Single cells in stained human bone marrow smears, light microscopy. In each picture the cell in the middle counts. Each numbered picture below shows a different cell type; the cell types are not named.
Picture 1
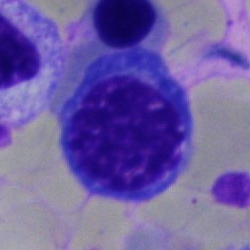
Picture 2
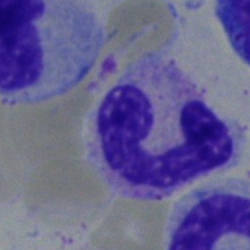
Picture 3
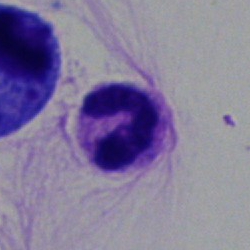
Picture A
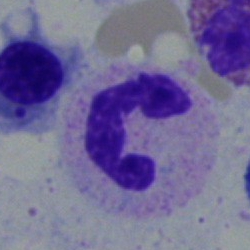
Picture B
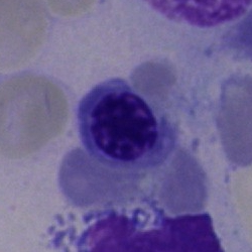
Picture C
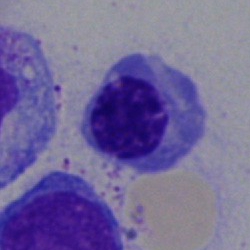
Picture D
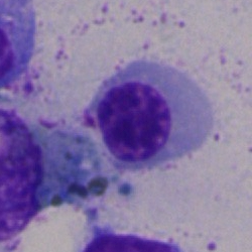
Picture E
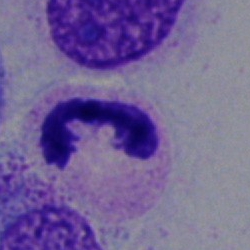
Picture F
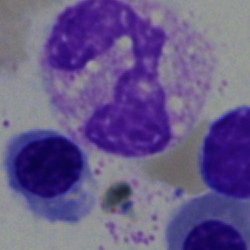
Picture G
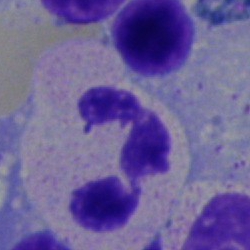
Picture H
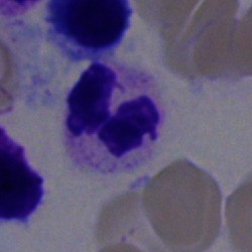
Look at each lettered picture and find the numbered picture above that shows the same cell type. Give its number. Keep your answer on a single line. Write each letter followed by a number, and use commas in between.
A 2, B 1, C 1, D 1, E 3, F 3, G 3, H 3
